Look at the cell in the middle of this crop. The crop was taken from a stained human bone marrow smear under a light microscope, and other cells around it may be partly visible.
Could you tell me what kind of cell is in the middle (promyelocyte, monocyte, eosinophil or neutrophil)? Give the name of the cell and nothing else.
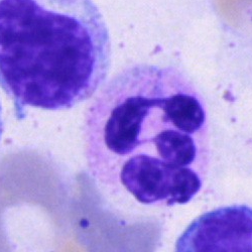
neutrophil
